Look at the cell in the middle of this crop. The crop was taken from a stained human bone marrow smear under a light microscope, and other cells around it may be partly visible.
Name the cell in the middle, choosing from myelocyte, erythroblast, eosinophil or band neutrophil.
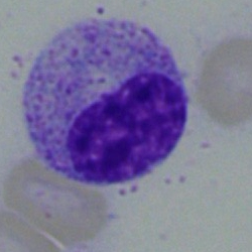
myelocyte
